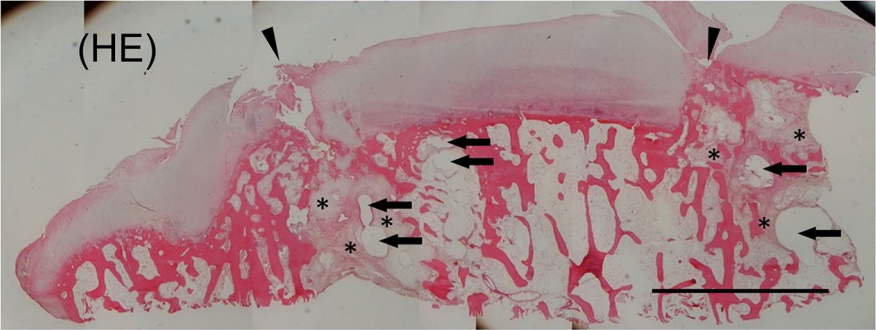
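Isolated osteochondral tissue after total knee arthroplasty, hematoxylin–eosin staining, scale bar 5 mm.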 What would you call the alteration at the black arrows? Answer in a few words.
subchondral bone cyst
